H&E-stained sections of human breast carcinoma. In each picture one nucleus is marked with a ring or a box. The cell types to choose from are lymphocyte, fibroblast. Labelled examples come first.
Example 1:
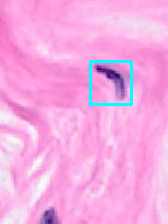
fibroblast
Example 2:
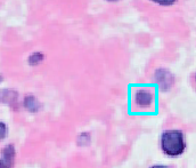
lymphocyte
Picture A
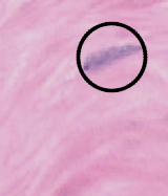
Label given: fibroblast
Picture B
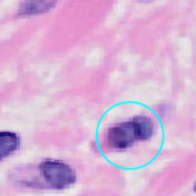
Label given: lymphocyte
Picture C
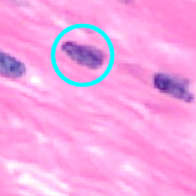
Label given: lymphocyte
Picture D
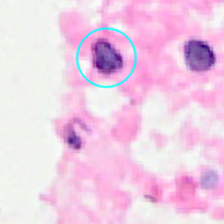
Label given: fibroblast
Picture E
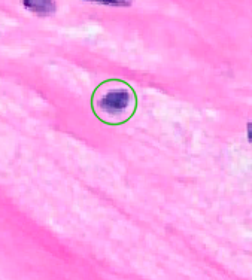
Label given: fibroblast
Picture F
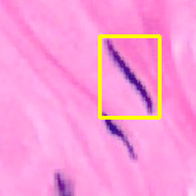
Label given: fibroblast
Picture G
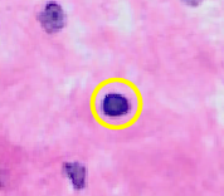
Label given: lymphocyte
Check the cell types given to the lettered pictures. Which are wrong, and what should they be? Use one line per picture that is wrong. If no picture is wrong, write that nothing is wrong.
D: change fibroblast to lymphocyte
E: change fibroblast to lymphocyte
